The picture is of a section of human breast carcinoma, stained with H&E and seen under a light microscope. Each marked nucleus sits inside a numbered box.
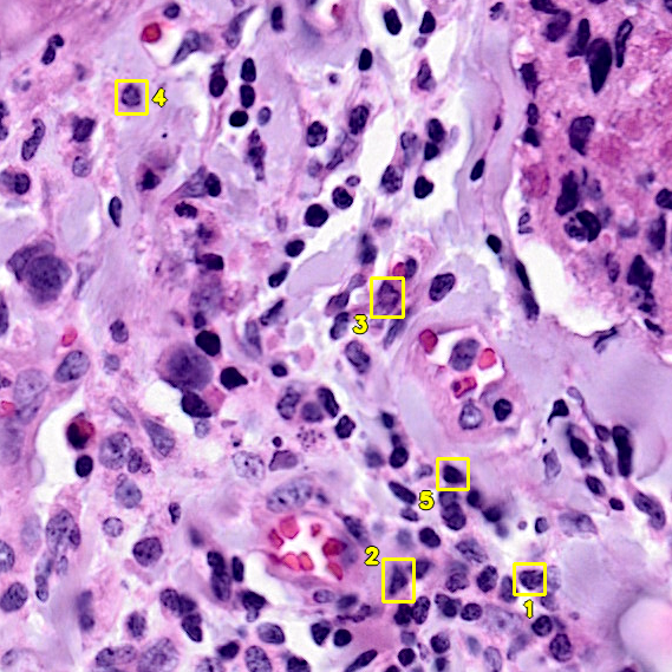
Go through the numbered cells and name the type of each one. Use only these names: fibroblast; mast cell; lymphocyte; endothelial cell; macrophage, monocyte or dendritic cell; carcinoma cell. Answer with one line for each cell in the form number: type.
1: lymphocyte
2: lymphocyte
3: endothelial cell
4: mast cell
5: lymphocyte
